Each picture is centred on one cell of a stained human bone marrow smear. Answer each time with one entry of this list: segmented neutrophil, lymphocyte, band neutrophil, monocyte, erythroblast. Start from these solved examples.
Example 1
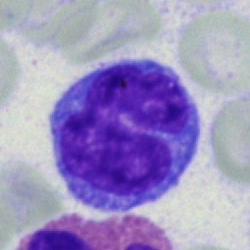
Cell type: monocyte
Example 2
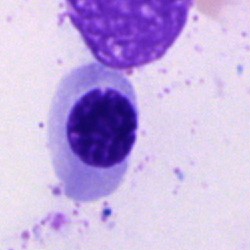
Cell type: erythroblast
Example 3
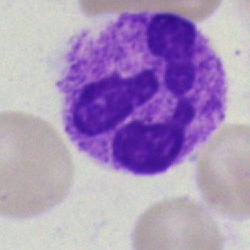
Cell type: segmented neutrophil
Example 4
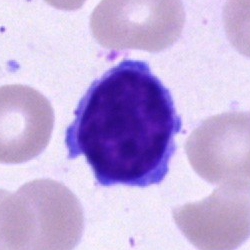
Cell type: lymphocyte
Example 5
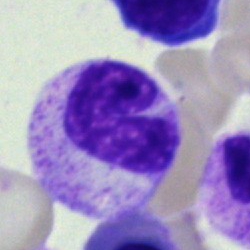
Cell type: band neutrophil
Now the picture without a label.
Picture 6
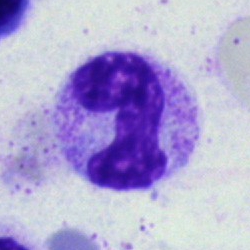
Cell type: band neutrophil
